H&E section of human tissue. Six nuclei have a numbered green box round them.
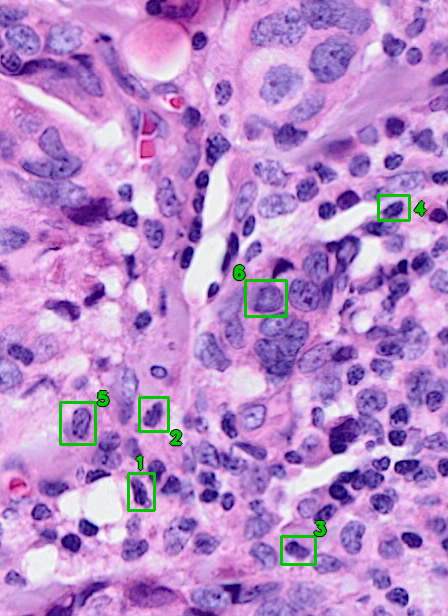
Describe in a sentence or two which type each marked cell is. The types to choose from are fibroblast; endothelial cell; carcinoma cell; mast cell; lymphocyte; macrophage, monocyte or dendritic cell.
Cells 1, 2, 3 and 4 are lymphocytes. Cell 5 is a macrophage, monocyte or dendritic cell. Cell 6 is a carcinoma cell.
